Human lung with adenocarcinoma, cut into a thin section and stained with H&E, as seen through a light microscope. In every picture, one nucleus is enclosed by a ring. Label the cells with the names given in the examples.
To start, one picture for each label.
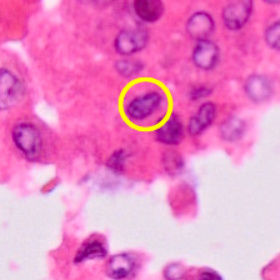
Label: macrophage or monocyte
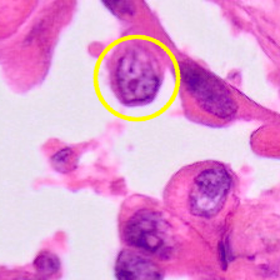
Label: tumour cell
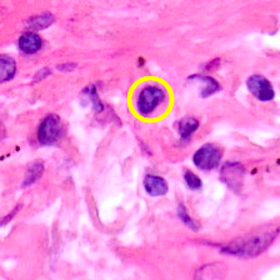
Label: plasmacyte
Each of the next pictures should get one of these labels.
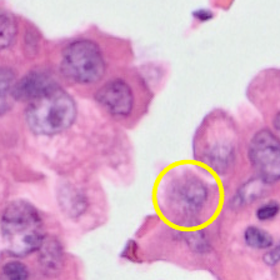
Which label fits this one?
tumour cell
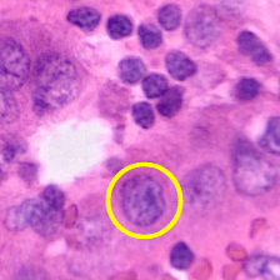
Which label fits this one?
tumour cell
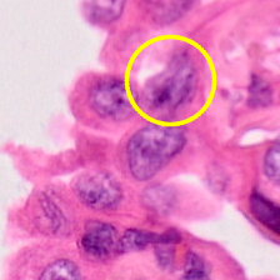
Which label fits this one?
tumour cell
